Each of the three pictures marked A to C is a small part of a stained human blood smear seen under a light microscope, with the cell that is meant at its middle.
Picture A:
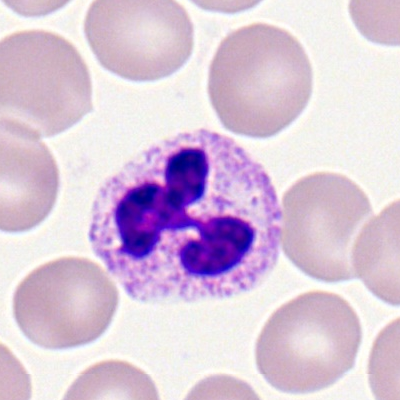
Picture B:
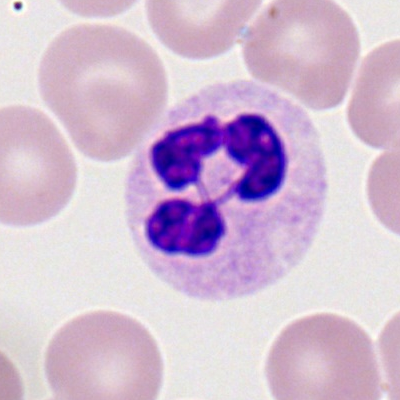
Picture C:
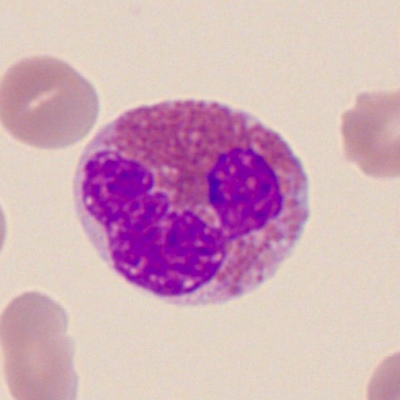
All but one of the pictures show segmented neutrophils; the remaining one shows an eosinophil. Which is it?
C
